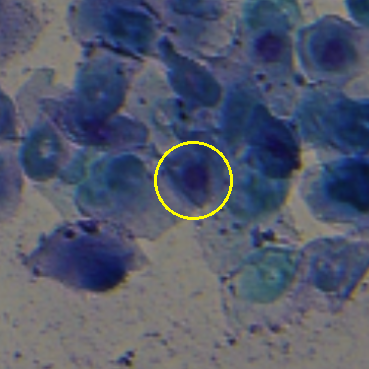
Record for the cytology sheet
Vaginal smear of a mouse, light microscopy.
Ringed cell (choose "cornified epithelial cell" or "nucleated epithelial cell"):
nucleated epithelial cell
